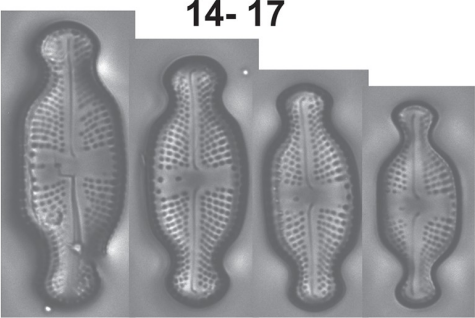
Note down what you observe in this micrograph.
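Four diatom valves of one kind, lined up from largest to smallest, each with a straight central raphe and a wide transverse central area across the middle. The valve outline swells in the middle and narrows toward both ends, which end in rounded, head-like poles. Coarse rows of puncta run across the valve face on either side of the raphe.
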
